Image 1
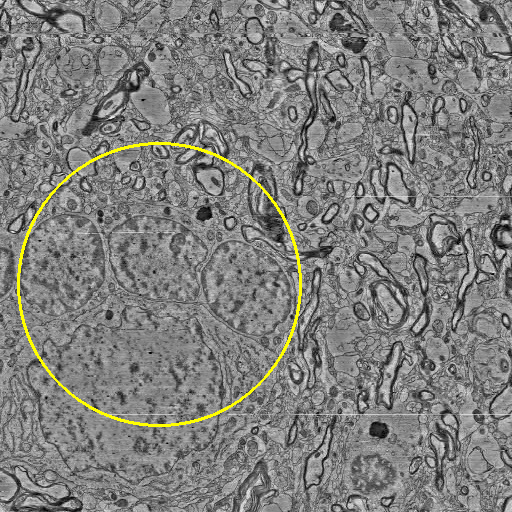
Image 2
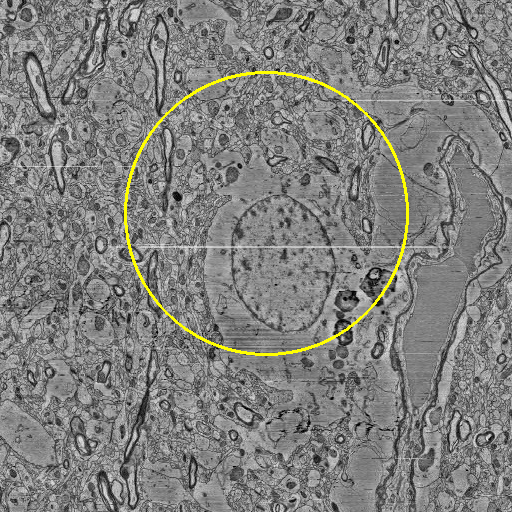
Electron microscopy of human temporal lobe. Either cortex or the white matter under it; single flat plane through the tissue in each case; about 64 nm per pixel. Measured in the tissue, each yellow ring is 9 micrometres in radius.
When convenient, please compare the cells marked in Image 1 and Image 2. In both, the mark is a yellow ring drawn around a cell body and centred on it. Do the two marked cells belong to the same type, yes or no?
no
